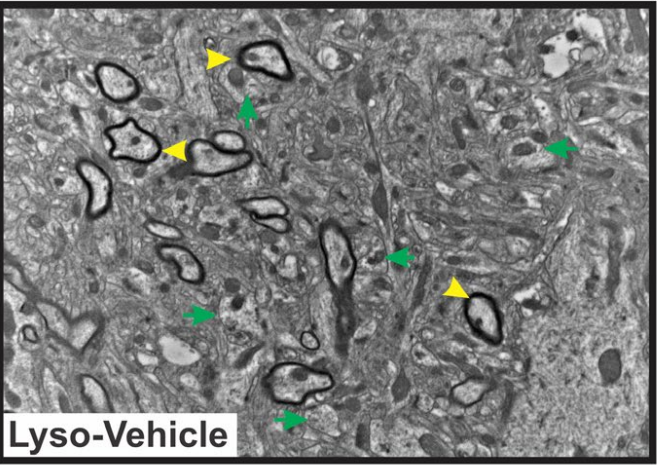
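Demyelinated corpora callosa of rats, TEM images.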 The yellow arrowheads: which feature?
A: myelinated axons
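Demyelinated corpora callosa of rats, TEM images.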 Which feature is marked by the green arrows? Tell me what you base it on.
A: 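Unmyelinated ones. The green arrows point at small grey axon profiles without any dark ring around them. These profiles lie in the grey neuropil between the sheathed axons.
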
